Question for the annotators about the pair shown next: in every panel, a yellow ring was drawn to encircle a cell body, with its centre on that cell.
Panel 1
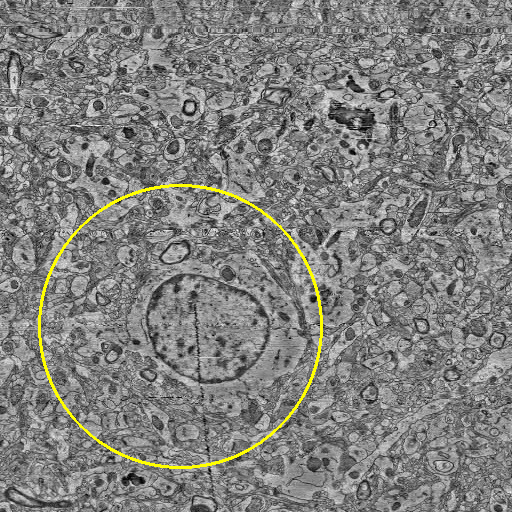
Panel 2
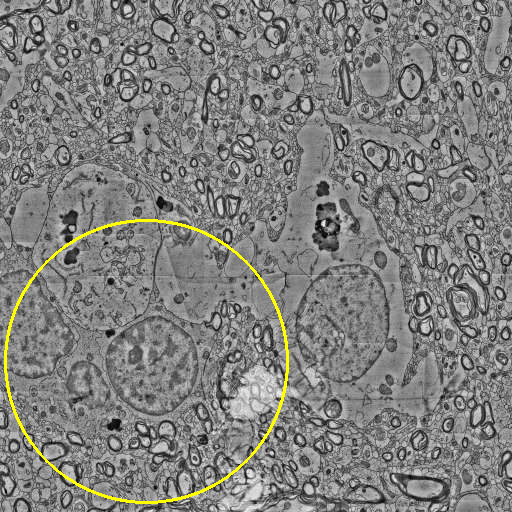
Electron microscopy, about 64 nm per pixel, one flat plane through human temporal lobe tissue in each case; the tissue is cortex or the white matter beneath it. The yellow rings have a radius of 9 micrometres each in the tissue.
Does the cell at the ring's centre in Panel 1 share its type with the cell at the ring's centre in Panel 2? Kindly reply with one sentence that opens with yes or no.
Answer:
No, in Panels 1 and 2 the cells at the ring centres belong to separate types.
